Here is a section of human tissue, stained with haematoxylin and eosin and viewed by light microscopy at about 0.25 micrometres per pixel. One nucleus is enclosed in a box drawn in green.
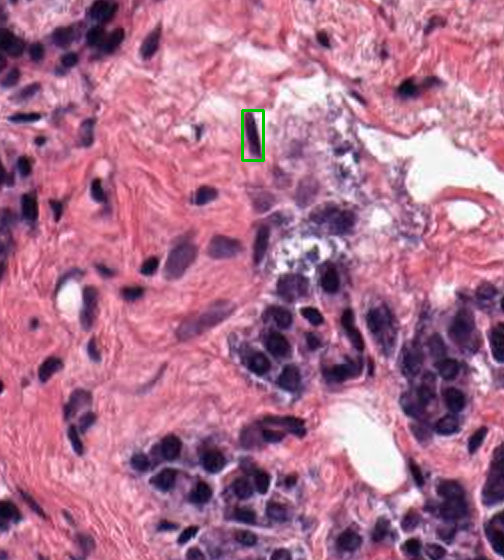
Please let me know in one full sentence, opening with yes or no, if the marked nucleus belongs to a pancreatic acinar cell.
No, the owner of the marked nucleus is a supporting cell, not a pancreatic acinar cell.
